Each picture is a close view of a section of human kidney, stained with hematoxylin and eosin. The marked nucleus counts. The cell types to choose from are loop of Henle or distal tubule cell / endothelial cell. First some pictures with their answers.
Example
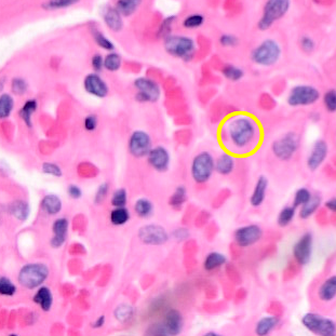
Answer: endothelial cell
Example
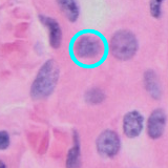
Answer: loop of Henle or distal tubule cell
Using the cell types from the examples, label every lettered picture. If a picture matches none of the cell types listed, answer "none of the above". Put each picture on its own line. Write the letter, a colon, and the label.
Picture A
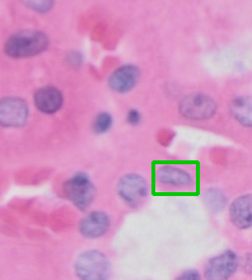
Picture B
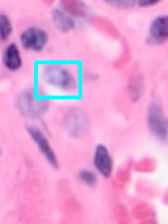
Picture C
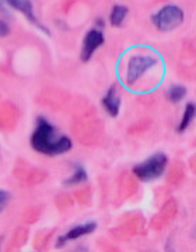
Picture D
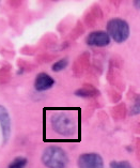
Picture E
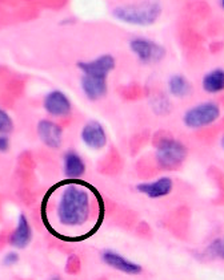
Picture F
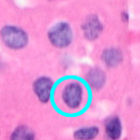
A: loop of Henle or distal tubule cell
B: loop of Henle or distal tubule cell
C: endothelial cell
D: loop of Henle or distal tubule cell
E: endothelial cell
F: loop of Henle or distal tubule cell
